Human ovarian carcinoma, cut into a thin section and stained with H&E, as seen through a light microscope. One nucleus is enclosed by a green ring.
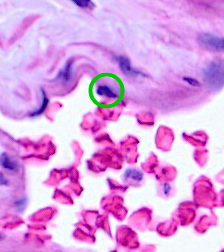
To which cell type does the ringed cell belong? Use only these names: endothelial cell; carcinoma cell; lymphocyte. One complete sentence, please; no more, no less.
With respect to cell type, the ringed cell is an endothelial cell.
